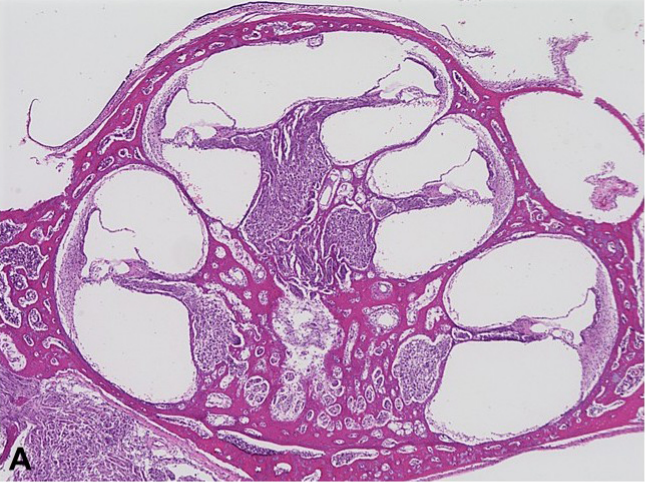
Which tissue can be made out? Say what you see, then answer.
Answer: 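A spiral canal cut in section shows several round chambers stacked on both sides of a central bony core. Each turn is divided by thin membranes into fluid-filled spaces. The whole lies within pink-staining bone. So: cochlea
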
